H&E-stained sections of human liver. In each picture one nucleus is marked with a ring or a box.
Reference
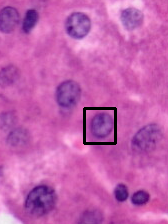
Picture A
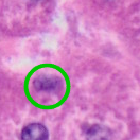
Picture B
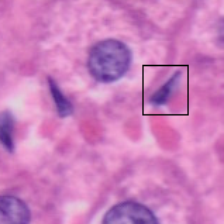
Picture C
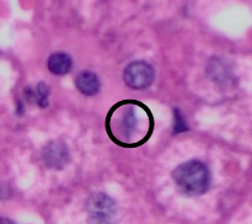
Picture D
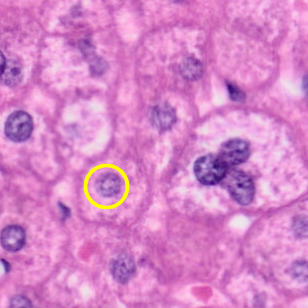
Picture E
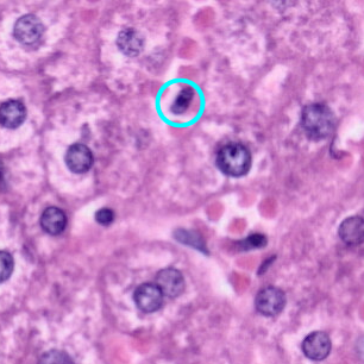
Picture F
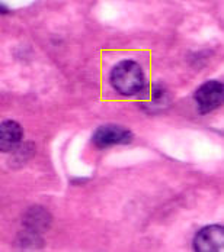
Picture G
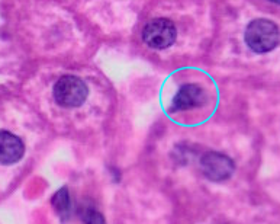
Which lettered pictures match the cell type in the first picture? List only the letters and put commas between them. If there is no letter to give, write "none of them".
D, F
